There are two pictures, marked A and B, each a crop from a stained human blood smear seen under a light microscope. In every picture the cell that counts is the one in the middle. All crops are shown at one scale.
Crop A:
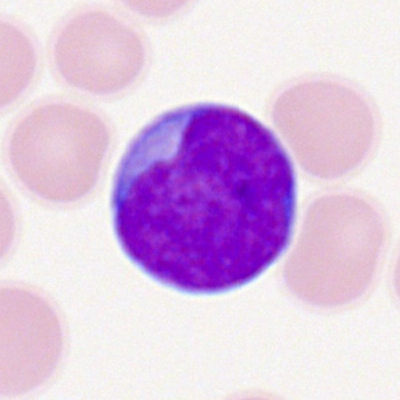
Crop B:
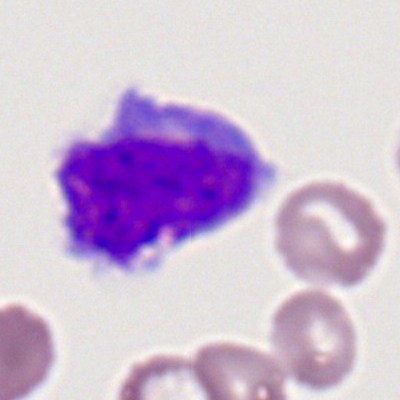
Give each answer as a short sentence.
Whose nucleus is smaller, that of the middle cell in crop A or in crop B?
It is the nucleus in crop B; the one in crop A has about 1.5 times its area.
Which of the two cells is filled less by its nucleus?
In crop B the nucleus takes up the smaller part of its cell.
